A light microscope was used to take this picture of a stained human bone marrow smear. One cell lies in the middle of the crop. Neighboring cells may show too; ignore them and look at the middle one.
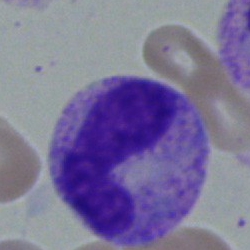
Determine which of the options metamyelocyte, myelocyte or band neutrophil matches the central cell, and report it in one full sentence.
The crop centres on a single cell, and that cell is a band neutrophil.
